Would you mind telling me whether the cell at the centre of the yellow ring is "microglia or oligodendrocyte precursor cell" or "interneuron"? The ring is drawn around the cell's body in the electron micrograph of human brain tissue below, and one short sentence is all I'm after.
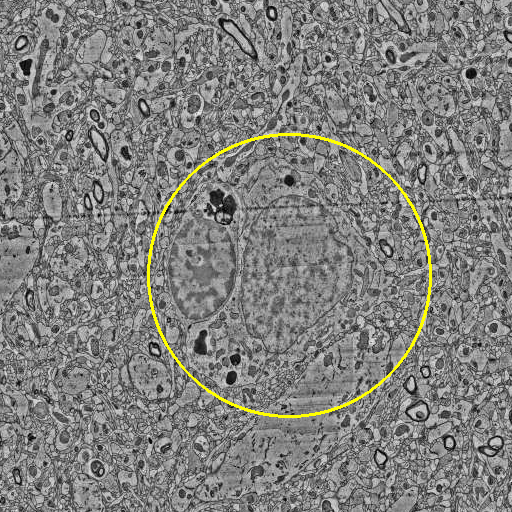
In the centre of the ring lies an interneuron.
